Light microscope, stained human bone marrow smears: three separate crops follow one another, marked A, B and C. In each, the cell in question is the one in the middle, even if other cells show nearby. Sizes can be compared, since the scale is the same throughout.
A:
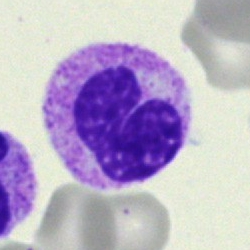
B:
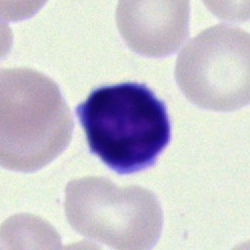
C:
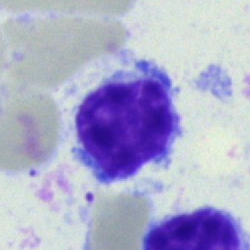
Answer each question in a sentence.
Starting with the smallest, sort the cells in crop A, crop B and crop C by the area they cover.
Going up, they run B, C, A.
